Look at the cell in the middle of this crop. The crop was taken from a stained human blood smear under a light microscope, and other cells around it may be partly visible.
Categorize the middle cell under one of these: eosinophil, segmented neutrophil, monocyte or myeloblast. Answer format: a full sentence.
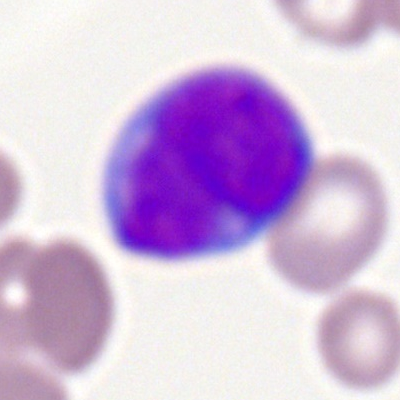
The cell in the exact centre of the crop is a myeloblast.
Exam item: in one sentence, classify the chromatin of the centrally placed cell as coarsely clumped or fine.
What stands out is fine chromatin lacking any coarse clumps.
